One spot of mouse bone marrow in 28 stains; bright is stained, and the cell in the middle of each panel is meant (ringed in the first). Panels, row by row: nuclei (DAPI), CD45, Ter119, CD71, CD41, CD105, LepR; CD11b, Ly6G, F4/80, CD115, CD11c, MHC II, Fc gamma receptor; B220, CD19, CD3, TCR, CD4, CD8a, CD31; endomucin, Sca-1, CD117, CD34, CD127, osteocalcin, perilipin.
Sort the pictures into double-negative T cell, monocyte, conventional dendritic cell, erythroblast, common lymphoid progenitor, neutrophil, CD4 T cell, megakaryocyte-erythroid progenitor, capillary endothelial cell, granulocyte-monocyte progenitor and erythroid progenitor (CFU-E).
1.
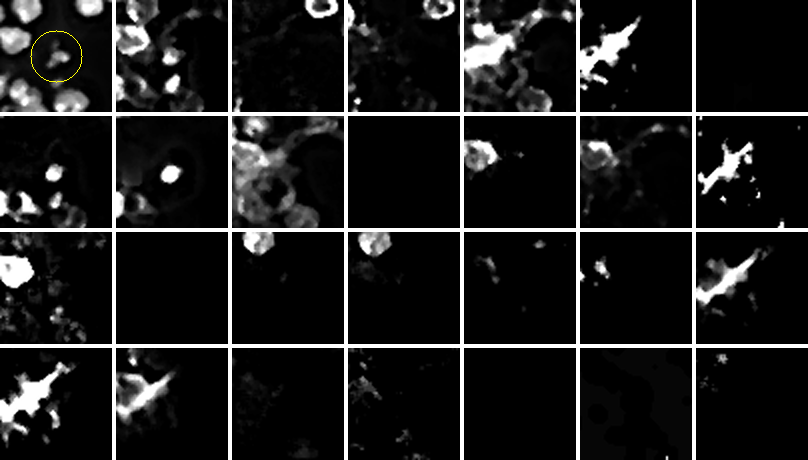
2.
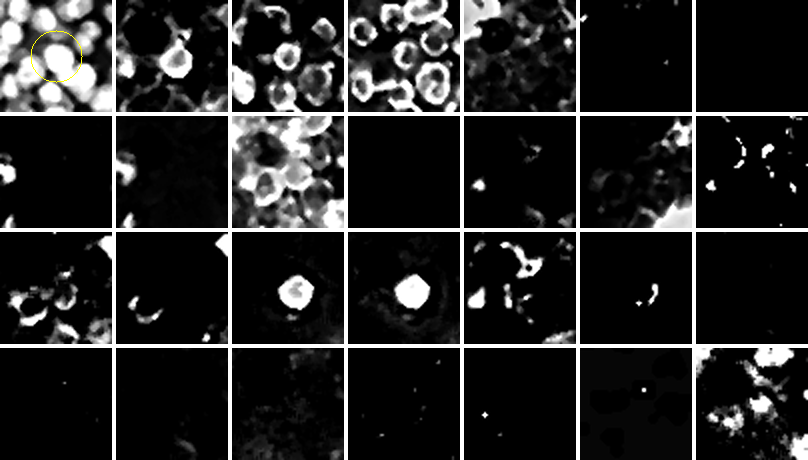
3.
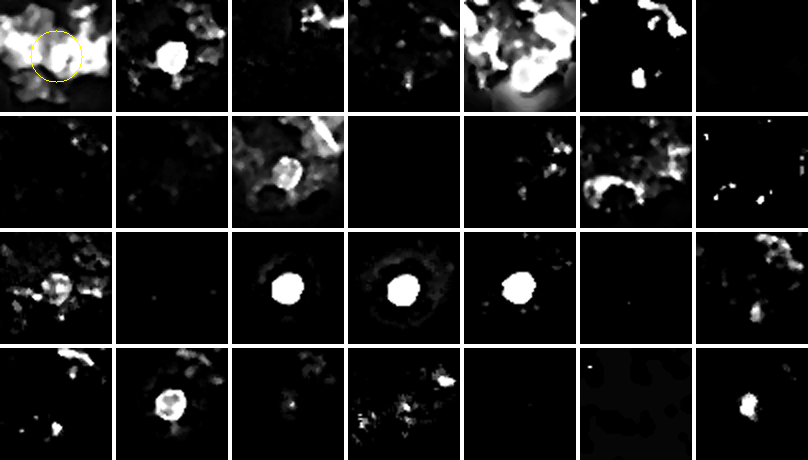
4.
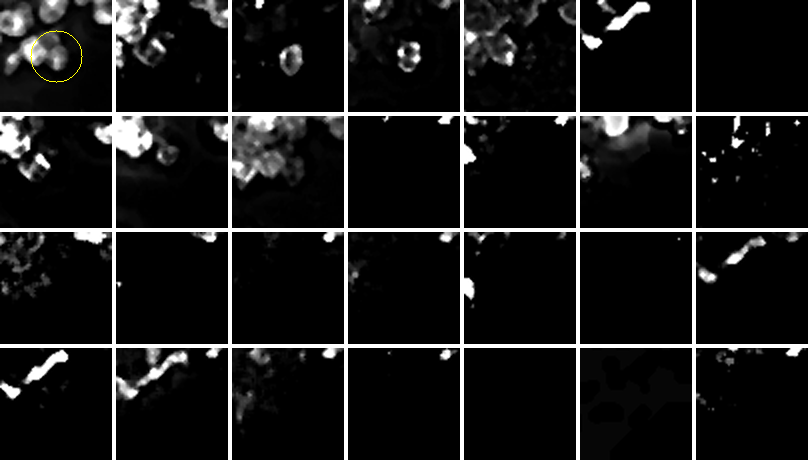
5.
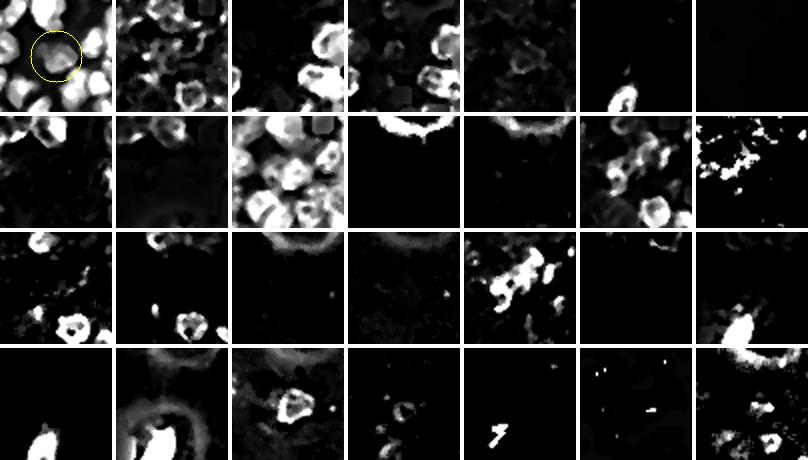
Neutrophils: 1
Double-negative T cells: 2
CD4 T cells: 3
Erythroblasts: 4
Granulocyte-monocyte progenitors: 5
